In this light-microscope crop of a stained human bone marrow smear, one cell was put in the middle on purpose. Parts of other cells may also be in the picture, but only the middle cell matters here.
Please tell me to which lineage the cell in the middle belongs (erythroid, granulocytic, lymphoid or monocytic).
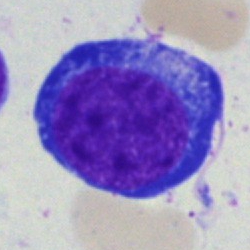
erythroid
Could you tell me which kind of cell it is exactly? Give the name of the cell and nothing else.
proerythroblast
